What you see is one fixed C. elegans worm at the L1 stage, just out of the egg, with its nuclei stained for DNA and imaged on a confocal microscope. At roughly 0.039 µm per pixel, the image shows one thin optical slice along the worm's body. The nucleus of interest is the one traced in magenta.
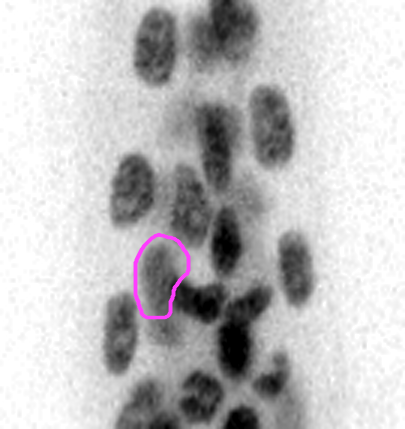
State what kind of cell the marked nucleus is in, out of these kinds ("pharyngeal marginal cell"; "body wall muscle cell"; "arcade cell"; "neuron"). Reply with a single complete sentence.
The marked nucleus belongs to an arcade cell.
